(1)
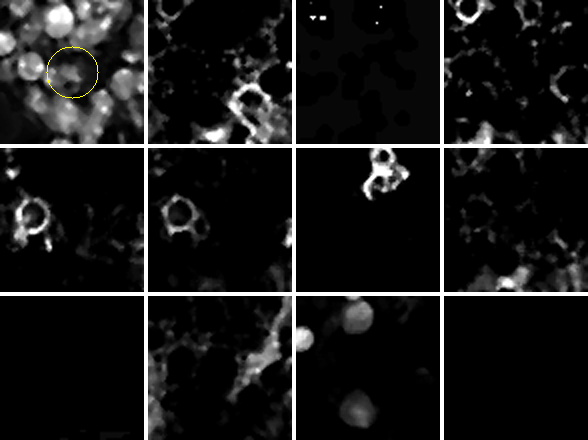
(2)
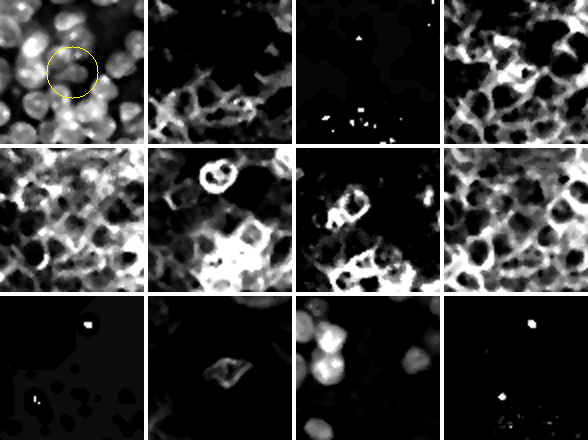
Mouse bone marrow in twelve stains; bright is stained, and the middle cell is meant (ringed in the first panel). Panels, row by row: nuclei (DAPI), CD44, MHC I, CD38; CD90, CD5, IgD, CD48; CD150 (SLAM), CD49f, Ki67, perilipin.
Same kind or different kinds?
Different: the first is a neutrophil, the second a capillary endothelial cell.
